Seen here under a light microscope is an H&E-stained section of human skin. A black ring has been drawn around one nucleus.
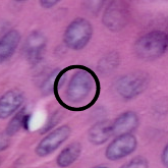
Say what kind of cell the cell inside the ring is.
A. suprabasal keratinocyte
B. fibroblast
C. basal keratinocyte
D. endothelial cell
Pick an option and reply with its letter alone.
A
